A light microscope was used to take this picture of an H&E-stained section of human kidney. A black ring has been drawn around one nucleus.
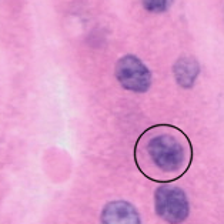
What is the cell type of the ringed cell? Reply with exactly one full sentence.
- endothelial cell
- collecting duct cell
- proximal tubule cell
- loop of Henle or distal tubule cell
As for its identity, the ringed cell is a proximal tubule cell.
